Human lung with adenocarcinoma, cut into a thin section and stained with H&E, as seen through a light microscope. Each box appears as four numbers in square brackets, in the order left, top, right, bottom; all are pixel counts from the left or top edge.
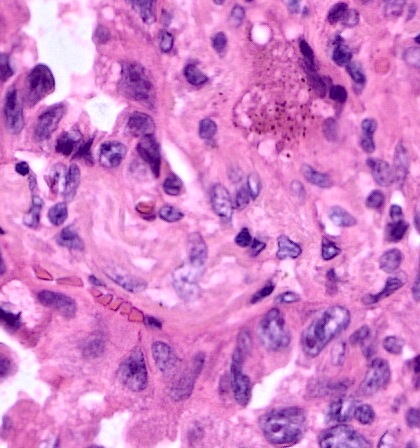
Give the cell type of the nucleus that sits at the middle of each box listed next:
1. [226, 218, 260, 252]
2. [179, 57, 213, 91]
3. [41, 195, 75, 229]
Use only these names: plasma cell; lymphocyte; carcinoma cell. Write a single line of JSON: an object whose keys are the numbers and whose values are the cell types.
{"1": "lymphocyte", "2": "plasma cell", "3": "lymphocyte"}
